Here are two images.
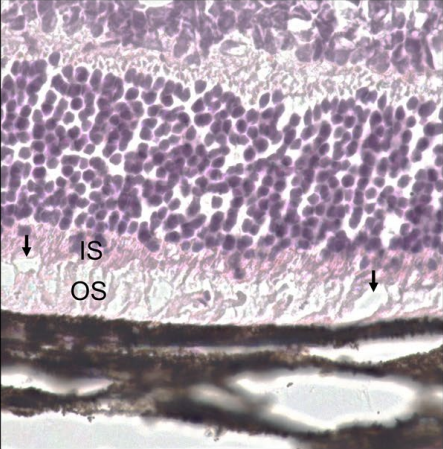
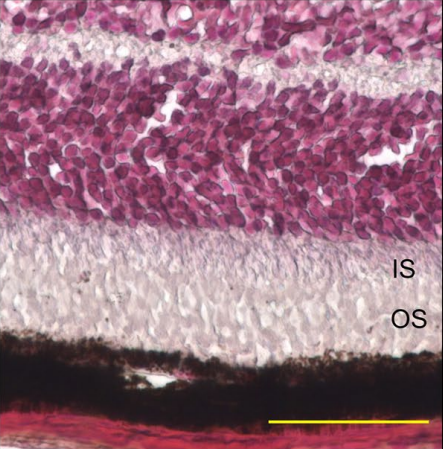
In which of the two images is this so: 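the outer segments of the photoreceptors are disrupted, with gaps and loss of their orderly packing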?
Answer: The first image.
